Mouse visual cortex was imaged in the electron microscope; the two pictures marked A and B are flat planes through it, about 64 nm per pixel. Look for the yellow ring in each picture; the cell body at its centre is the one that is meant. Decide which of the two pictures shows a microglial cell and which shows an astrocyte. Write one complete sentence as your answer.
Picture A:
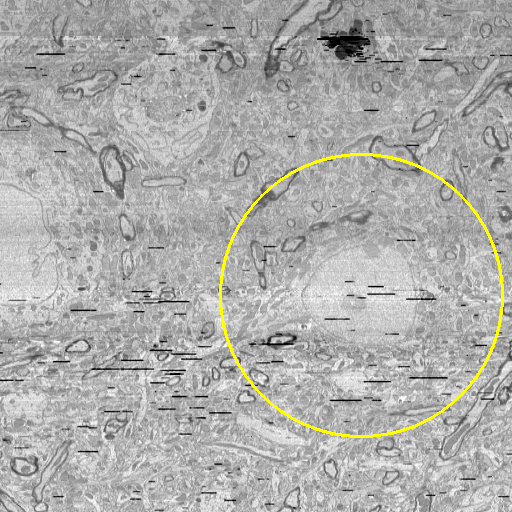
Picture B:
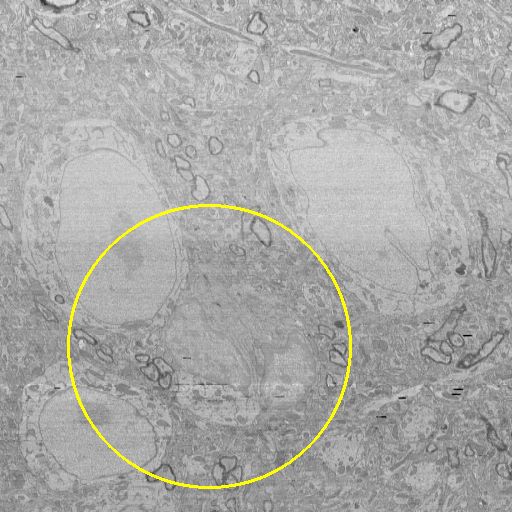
Picture A is of an astrocyte, and picture B is of a microglial cell.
